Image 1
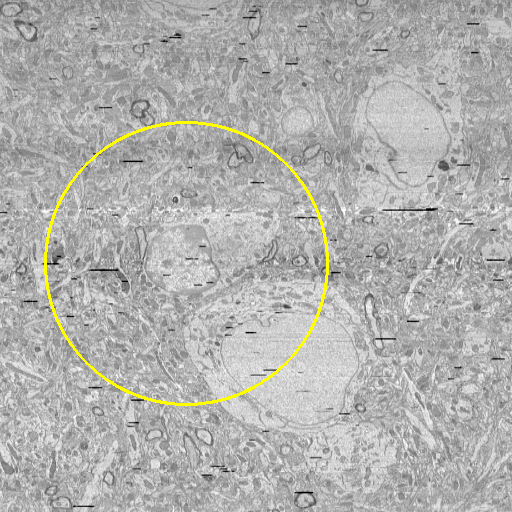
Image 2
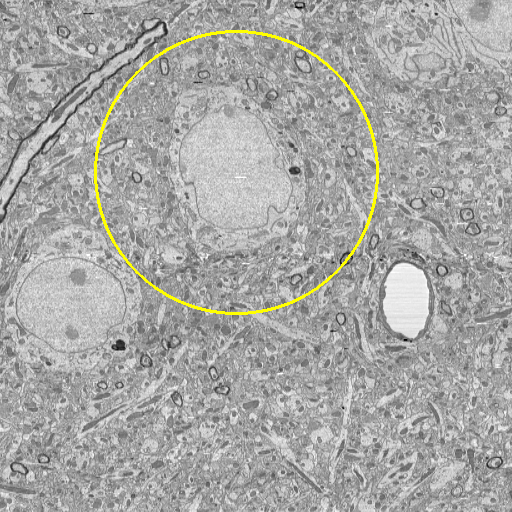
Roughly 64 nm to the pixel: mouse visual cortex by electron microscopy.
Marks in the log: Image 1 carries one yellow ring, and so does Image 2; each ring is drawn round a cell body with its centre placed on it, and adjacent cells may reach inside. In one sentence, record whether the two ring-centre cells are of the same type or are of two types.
The two cells at the ring centres, one in each image, are of two types.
